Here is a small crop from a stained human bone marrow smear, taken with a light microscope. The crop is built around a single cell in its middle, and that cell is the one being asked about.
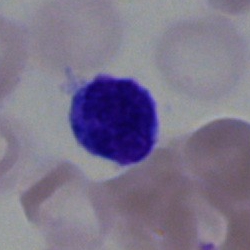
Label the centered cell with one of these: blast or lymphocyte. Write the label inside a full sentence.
The cell of interest, located centrally, is a lymphocyte.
